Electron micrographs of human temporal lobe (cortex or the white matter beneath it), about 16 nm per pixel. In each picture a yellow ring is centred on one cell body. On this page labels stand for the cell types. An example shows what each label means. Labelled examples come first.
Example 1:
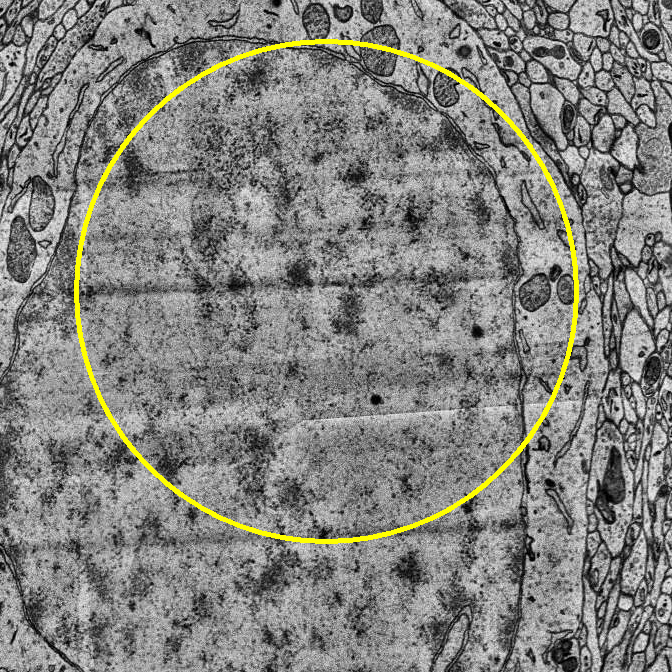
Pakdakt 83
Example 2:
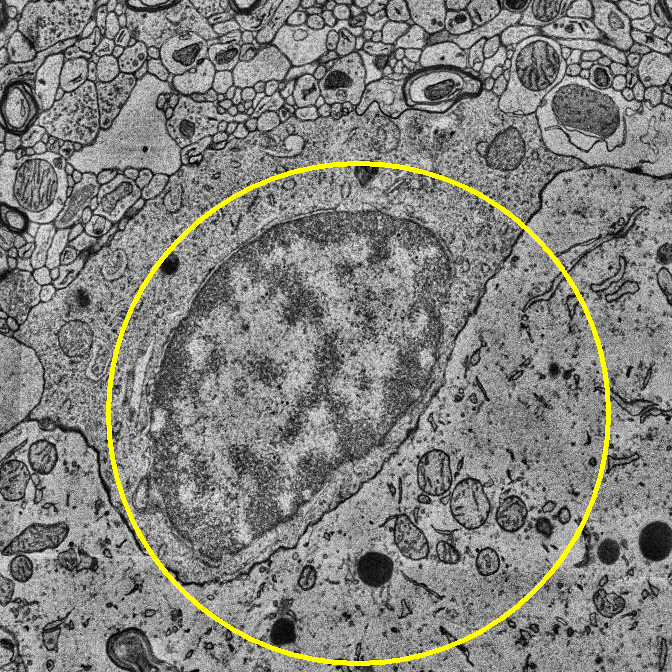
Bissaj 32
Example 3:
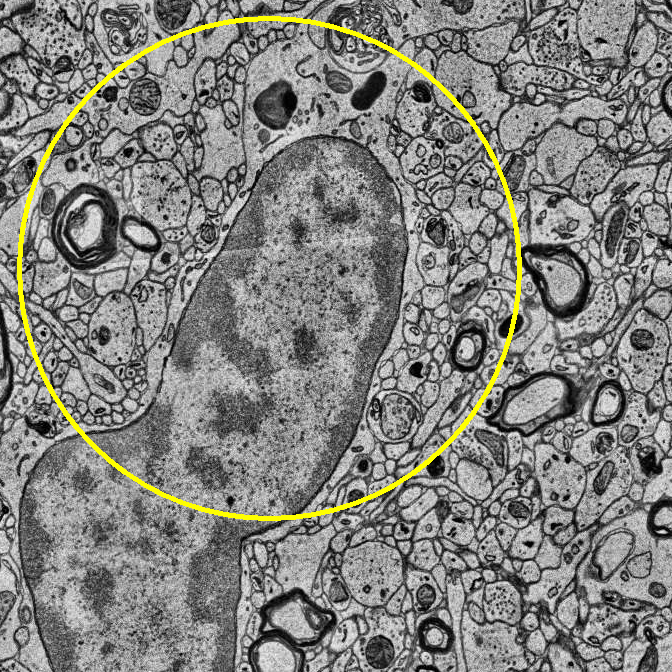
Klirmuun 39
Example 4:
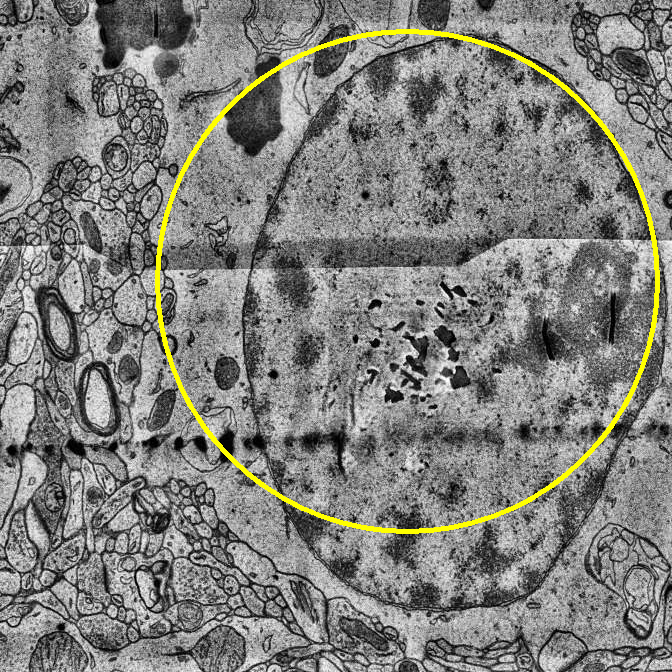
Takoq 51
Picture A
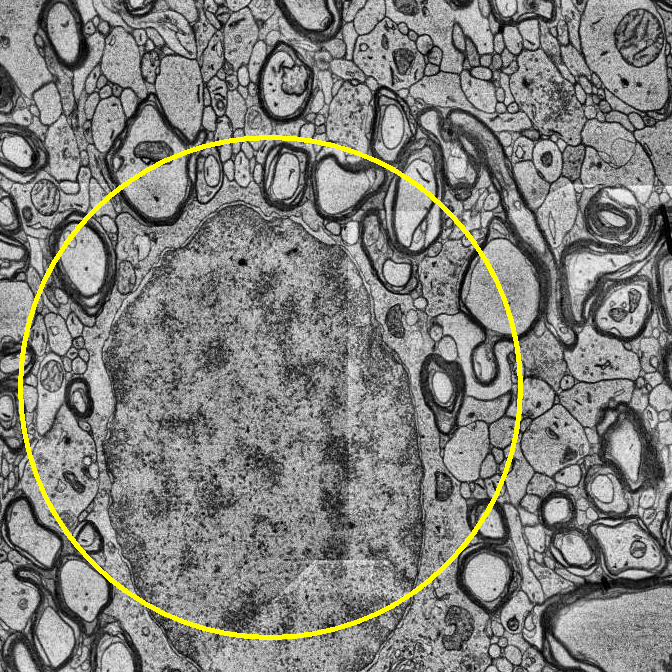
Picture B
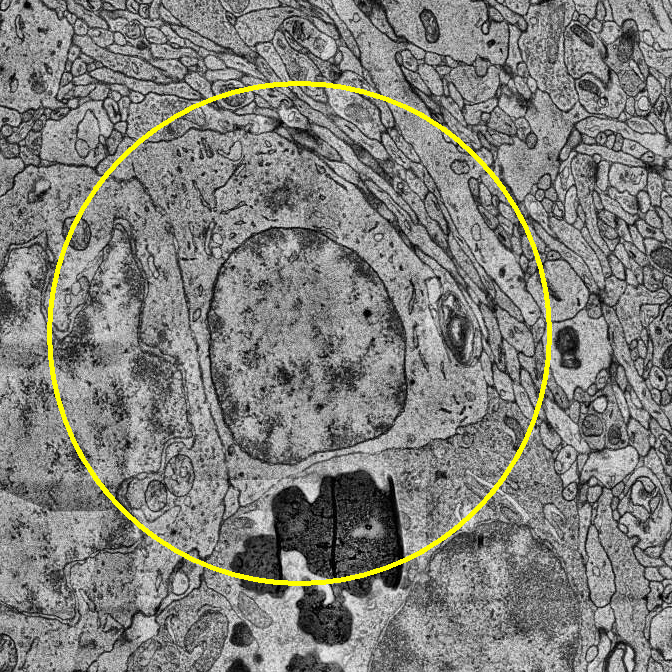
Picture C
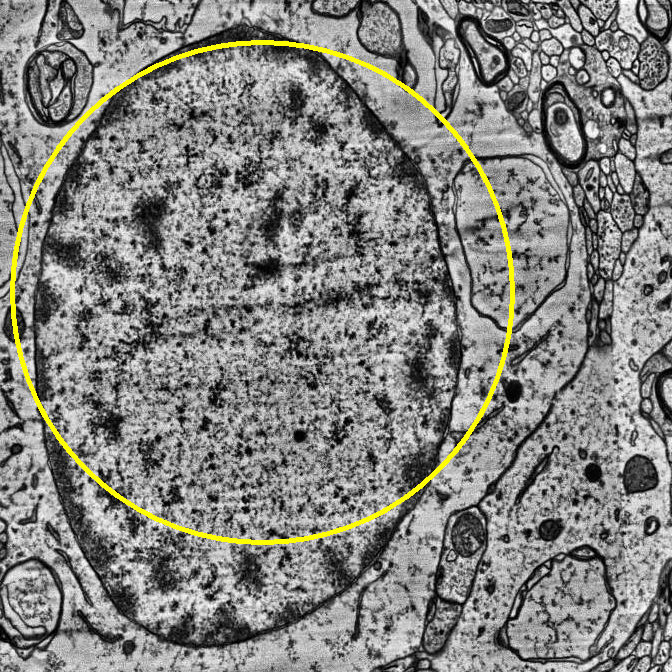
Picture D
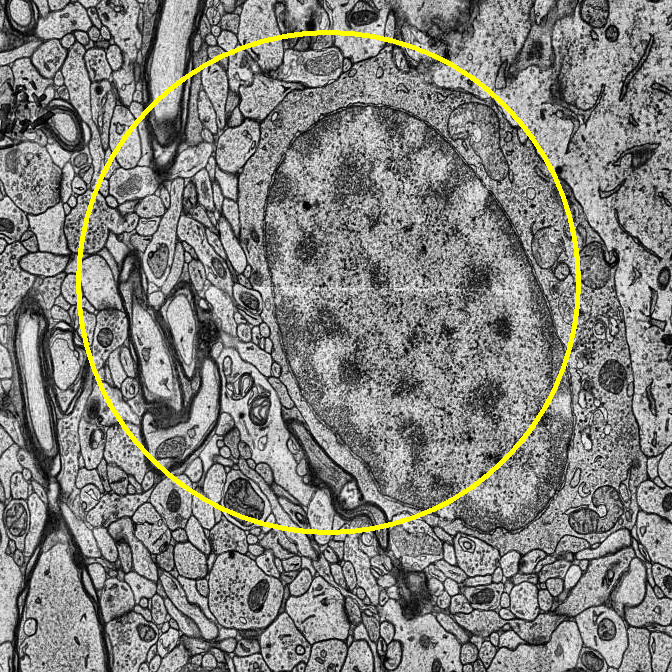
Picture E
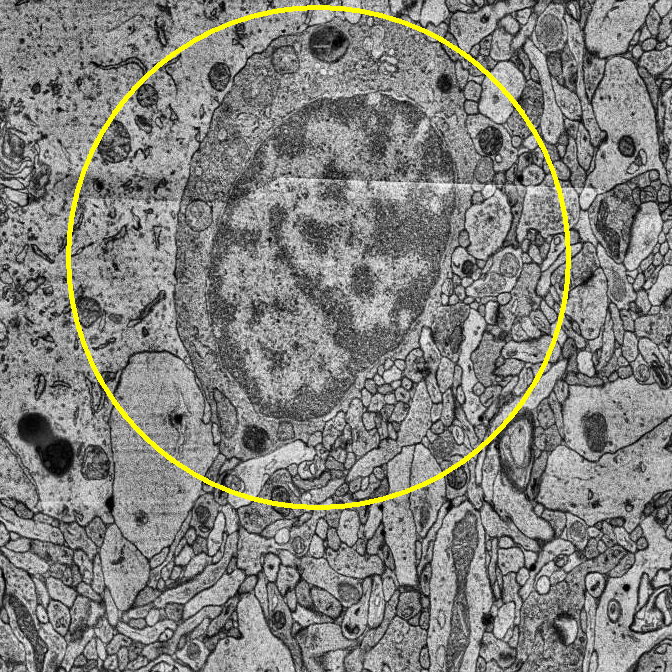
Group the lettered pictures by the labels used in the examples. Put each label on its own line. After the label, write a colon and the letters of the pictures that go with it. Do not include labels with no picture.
Bissaj 32: A, D, E
Klirmuun 39: B
Takoq 51: C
